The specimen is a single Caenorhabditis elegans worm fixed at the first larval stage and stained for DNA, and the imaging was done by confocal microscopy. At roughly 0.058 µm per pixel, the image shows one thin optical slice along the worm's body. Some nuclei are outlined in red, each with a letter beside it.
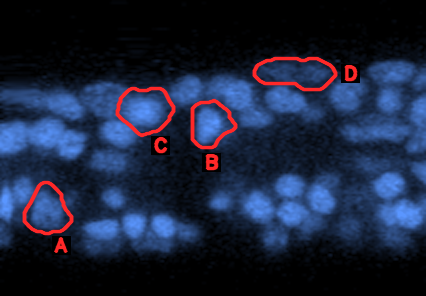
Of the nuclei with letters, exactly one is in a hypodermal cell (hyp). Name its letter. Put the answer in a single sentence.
Of the marked nuclei, D is the one in a hypodermal cell (hyp).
